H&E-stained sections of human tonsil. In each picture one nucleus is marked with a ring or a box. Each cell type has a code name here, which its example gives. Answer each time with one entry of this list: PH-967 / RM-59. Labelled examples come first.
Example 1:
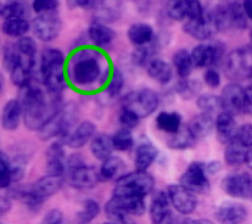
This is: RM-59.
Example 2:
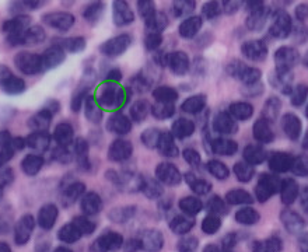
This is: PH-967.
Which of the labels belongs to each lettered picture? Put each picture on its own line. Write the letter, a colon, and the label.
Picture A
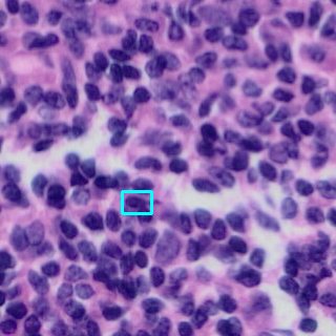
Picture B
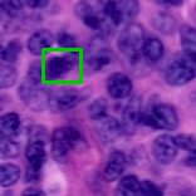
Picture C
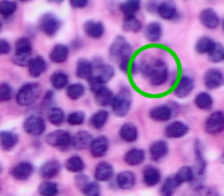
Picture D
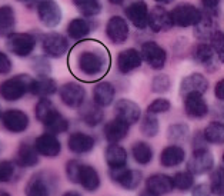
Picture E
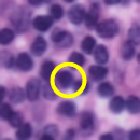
A: PH-967.
B: RM-59.
C: RM-59.
D: PH-967.
E: PH-967.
